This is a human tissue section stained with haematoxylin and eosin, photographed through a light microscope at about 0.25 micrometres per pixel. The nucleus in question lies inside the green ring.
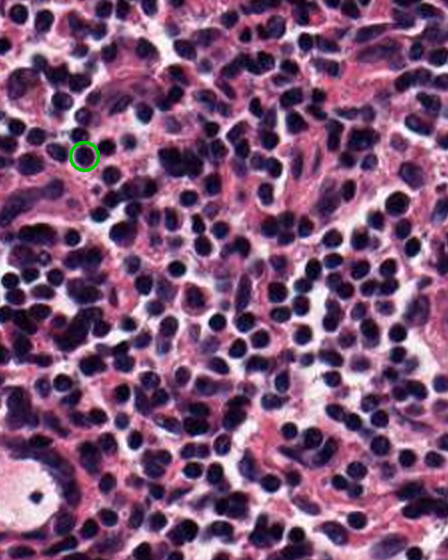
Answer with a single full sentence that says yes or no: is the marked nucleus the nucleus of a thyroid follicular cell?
No, it is not a thyroid follicular cell but a supporting cell to which the marked nucleus is assigned.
